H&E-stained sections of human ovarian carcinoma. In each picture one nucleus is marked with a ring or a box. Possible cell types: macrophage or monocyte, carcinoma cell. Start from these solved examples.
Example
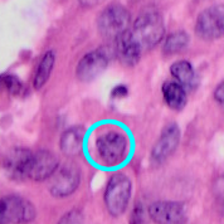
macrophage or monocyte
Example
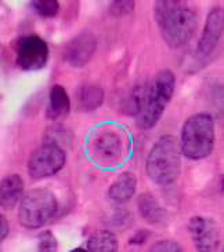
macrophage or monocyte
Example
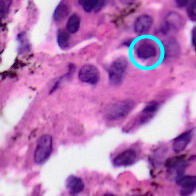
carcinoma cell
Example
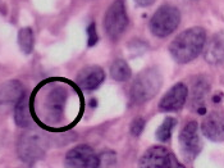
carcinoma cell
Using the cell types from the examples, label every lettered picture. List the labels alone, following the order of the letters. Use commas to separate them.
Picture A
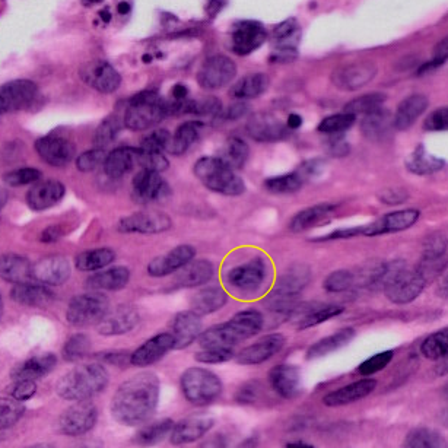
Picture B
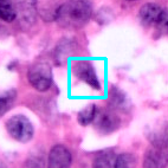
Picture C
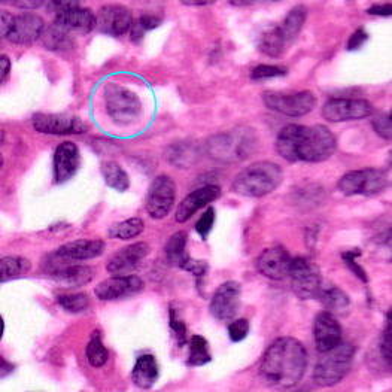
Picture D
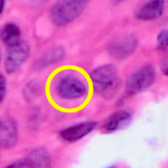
macrophage or monocyte, carcinoma cell, macrophage or monocyte, macrophage or monocyte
